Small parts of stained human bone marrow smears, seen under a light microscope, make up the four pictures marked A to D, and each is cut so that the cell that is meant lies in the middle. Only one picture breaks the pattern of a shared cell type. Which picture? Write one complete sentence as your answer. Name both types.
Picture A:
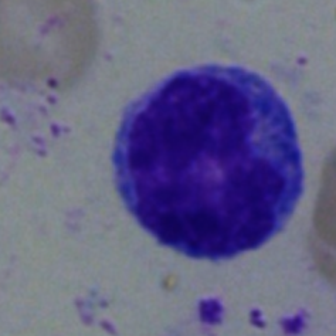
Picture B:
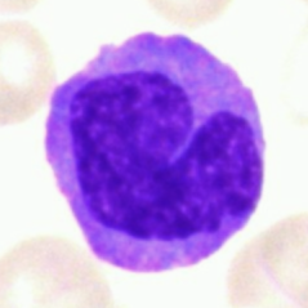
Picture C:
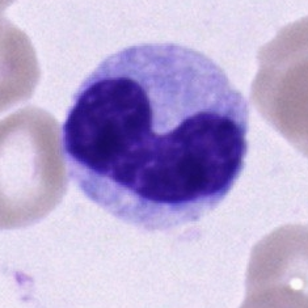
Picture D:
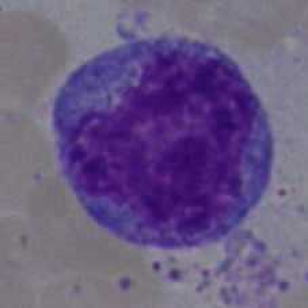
The others show monocytes, but picture C shows a band neutrophil.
